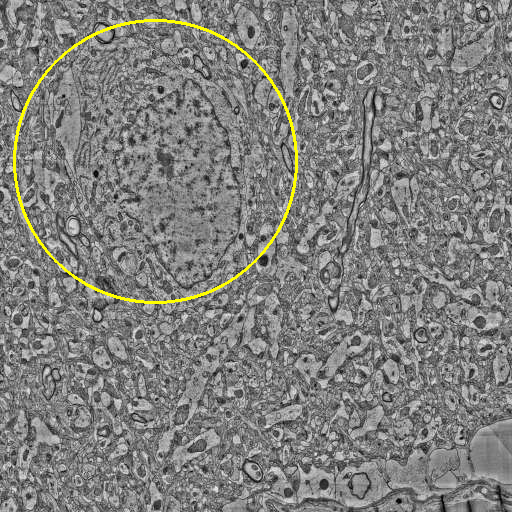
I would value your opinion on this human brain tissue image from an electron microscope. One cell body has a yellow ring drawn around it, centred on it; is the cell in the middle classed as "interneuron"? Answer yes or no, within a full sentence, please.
Yes, I would class the cell in the middle of the ring as that kind.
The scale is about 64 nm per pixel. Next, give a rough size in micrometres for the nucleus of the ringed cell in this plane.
The nucleus is about 12 micrometres in length and 8 in width, clearly longer than it is wide in this plane.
